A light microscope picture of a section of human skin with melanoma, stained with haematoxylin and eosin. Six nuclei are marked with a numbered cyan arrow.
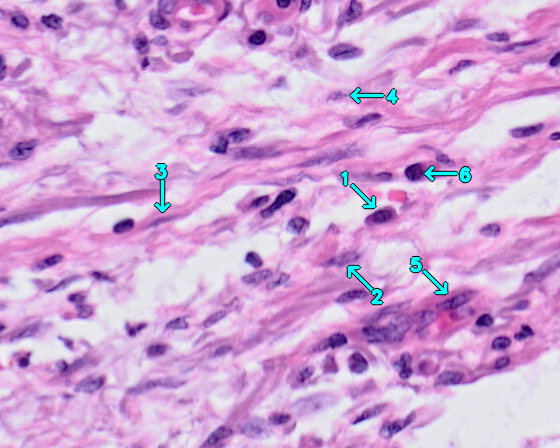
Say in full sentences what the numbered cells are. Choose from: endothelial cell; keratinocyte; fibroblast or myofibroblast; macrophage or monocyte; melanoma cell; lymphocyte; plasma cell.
Cell 1 is a plasma cell, cell 2 is a fibroblast or myofibroblast, cell 3 is a fibroblast or myofibroblast, cell 4 is a fibroblast or myofibroblast, cell 5 is an endothelial cell and cell 6 is a plasma cell.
